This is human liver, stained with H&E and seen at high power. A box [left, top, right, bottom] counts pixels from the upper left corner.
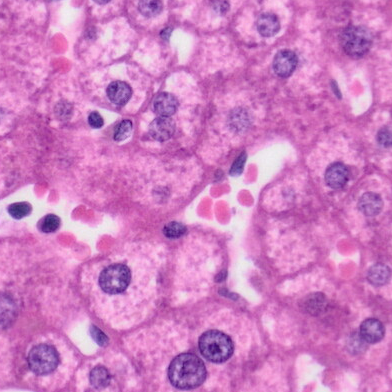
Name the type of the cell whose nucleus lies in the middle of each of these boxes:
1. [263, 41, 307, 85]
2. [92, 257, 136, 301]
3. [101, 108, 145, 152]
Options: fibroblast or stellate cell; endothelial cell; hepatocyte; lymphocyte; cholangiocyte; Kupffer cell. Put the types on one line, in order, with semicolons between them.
hepatocyte; hepatocyte; Kupffer cell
